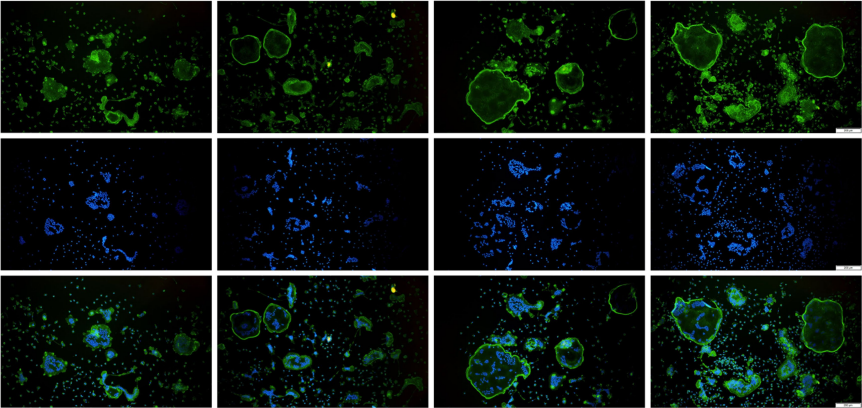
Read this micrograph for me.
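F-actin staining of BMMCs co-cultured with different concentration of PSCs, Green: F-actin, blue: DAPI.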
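Among many small single cells with one blue nucleus each, there are large spread cells that hold clusters of many blue nuclei. Some of these large cells are bounded by a sharp, continuous bright green ring along their edge.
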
